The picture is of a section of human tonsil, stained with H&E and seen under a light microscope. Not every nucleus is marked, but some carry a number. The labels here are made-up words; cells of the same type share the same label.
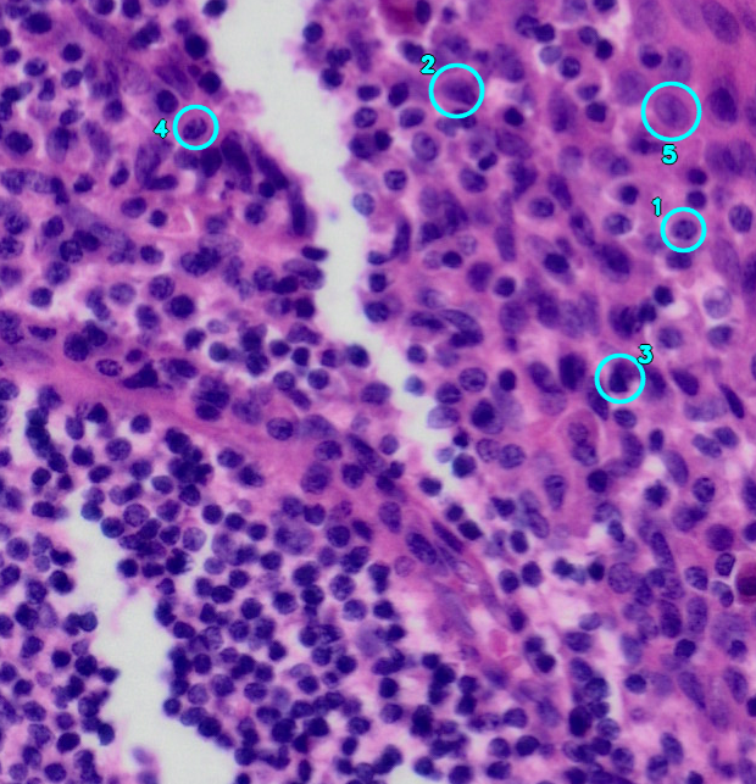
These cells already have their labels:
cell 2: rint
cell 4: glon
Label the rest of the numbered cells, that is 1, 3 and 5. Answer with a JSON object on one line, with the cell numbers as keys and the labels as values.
{"1": "glon", "3": "rint", "5": "rint"}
